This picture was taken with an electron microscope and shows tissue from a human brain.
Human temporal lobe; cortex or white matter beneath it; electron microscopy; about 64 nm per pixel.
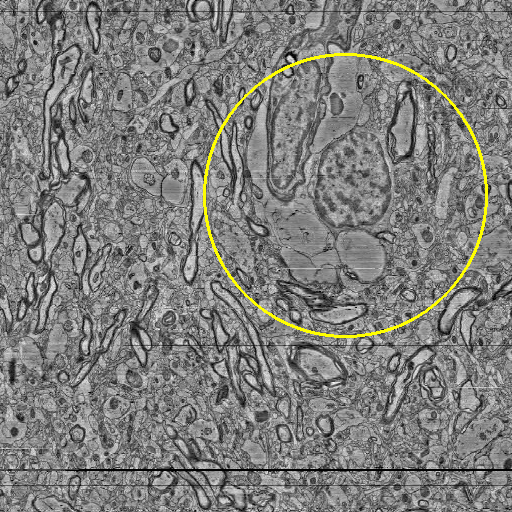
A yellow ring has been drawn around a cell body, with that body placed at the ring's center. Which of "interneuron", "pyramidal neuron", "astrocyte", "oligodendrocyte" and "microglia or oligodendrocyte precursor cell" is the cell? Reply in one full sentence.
In this picture, an oligodendrocyte is the cell at the center of the yellow ring.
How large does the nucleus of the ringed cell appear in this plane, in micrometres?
In this plane the nucleus measures roughly 6 by 5 micrometres.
